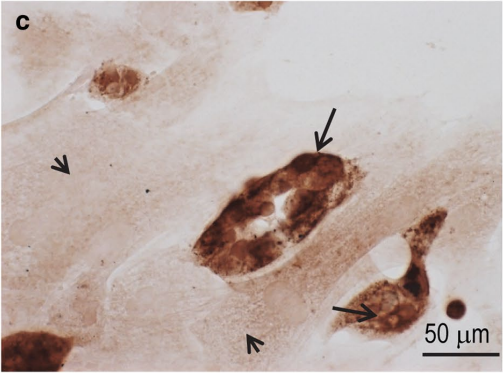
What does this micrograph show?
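The epithelial cells are rounded and packed tightly, and they stain dark brown throughout. One group forms a ring of cells around a pale central space, and another smaller group lies below it. Around them the mesenchymal cells are broad, flat and very pale, with barely any brown, their outlines only faintly seen.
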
